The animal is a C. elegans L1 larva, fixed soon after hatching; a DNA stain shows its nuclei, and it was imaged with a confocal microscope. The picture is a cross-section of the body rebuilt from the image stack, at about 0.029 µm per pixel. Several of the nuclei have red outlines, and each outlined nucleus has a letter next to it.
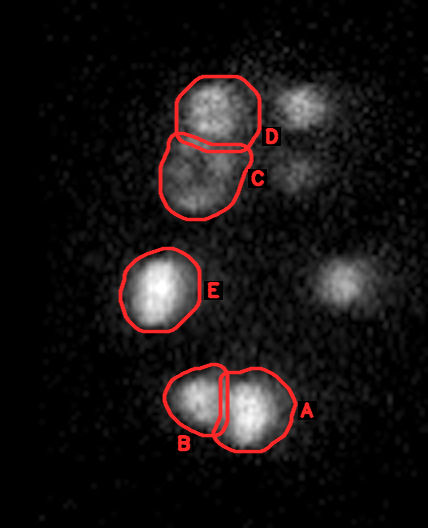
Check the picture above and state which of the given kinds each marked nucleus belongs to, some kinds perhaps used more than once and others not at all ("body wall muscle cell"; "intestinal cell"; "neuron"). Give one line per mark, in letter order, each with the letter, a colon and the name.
A: neuron
B: body wall muscle cell
C: intestinal cell
D: body wall muscle cell
E: neuron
